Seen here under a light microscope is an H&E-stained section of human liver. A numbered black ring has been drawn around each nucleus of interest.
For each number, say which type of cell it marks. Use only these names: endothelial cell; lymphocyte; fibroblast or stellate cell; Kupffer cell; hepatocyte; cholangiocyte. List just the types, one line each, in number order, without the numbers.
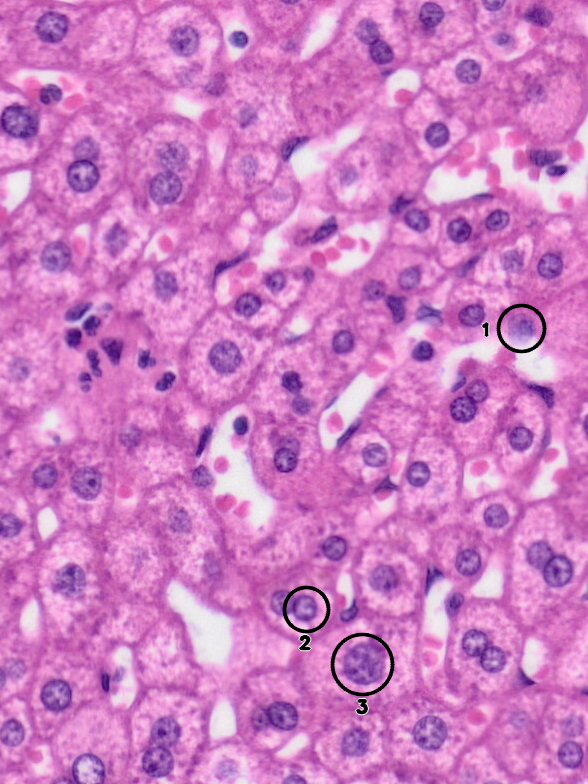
endothelial cell
hepatocyte
hepatocyte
